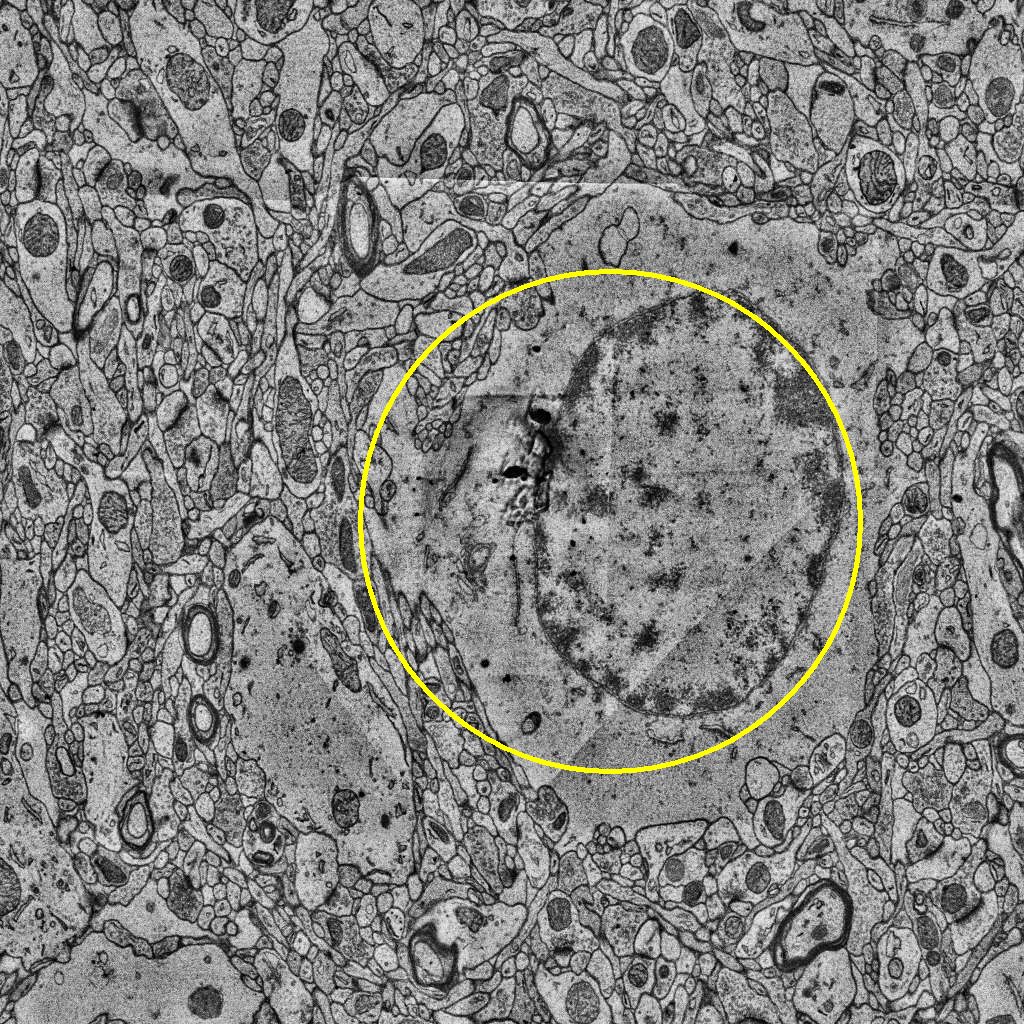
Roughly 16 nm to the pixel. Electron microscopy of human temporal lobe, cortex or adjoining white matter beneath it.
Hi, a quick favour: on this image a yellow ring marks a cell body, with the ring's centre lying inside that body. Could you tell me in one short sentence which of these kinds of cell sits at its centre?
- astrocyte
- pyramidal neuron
The ring's centre lies in an astrocyte.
